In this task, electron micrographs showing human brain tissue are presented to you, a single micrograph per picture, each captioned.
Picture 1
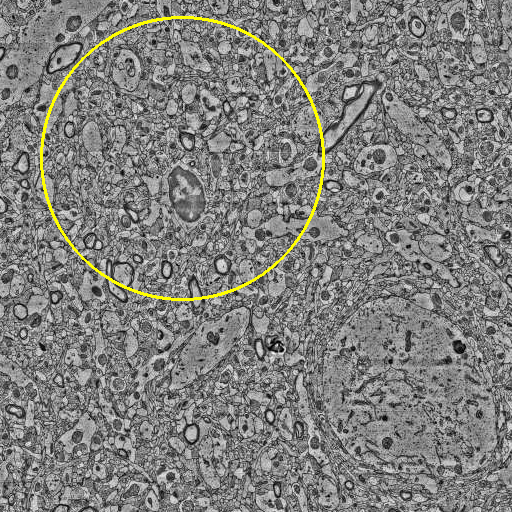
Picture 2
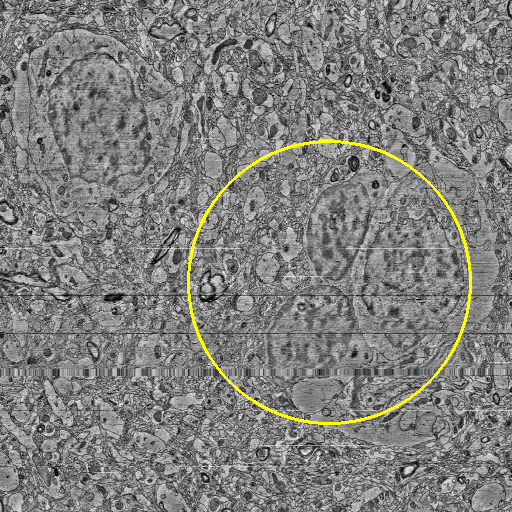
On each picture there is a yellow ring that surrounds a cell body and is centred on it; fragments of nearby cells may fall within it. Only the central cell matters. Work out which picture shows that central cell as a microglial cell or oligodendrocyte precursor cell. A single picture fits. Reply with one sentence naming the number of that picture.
Of all the pictures, number 1 has the right cell in the centre of its ring.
